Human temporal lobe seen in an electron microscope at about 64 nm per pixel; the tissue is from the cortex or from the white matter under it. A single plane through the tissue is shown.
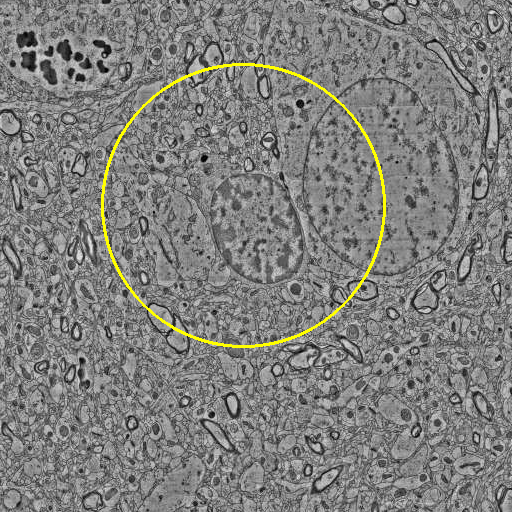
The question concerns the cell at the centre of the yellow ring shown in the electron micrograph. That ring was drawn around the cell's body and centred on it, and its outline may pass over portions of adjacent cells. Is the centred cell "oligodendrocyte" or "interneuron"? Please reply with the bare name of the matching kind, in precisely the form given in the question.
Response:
oligodendrocyte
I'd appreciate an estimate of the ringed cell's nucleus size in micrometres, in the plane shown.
Approximately 7 by 6 micrometers in this plane.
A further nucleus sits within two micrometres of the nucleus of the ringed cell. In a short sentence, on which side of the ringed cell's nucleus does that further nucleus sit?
That other nucleus sits to the upper right of it.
